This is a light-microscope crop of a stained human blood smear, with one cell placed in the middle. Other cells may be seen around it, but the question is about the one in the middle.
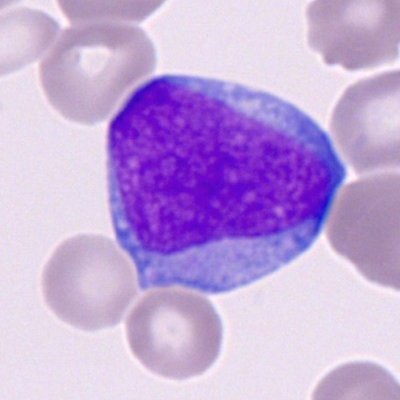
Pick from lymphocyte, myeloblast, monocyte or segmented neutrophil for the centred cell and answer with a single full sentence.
At the middle of the frame sits a myeloblast.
